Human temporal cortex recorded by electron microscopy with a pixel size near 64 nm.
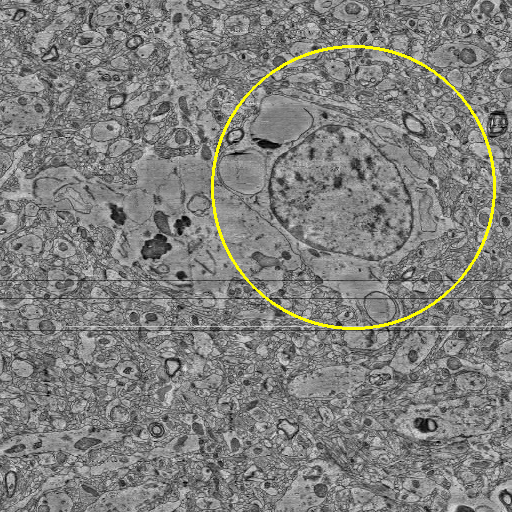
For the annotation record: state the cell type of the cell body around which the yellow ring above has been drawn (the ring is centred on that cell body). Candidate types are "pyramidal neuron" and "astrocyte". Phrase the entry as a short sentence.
The ringed cell is an astrocyte.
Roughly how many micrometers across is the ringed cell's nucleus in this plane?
About 10 by 8 micrometers for the nucleus, in this plane.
